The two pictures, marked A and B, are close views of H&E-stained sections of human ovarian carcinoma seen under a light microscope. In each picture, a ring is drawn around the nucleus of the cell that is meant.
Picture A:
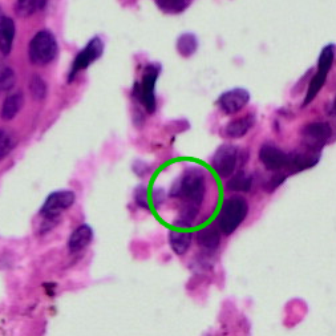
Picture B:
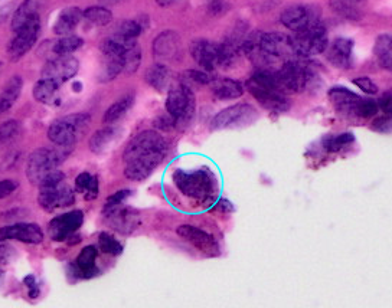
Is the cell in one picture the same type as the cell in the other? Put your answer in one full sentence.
Yes, both are carcinoma cells.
